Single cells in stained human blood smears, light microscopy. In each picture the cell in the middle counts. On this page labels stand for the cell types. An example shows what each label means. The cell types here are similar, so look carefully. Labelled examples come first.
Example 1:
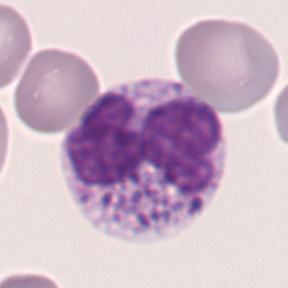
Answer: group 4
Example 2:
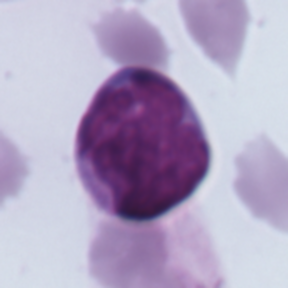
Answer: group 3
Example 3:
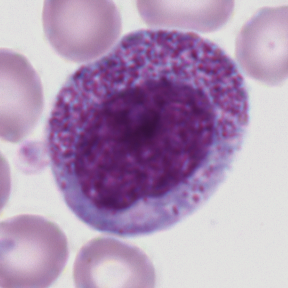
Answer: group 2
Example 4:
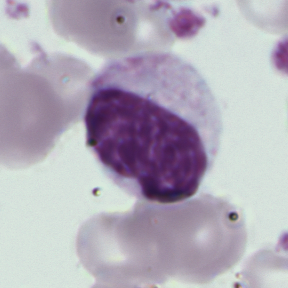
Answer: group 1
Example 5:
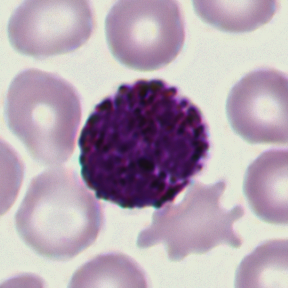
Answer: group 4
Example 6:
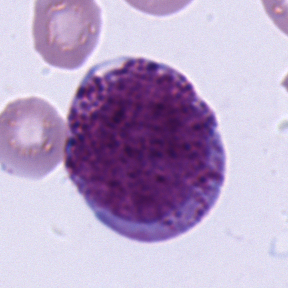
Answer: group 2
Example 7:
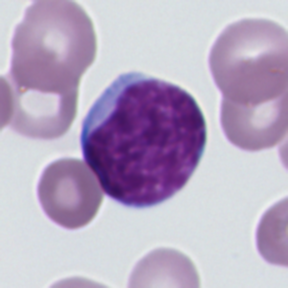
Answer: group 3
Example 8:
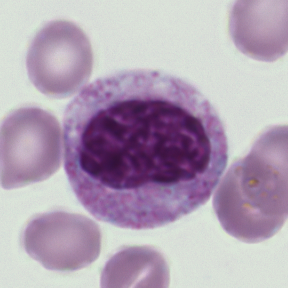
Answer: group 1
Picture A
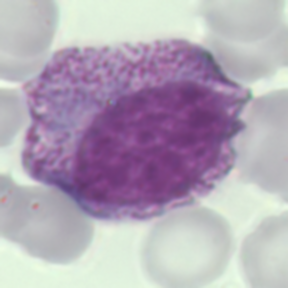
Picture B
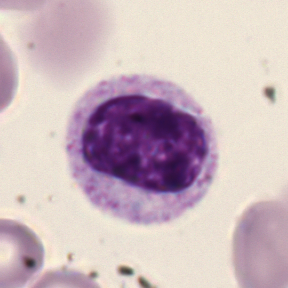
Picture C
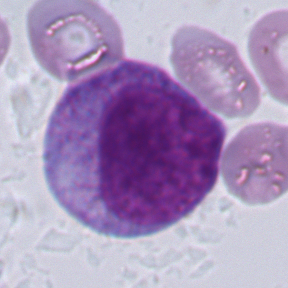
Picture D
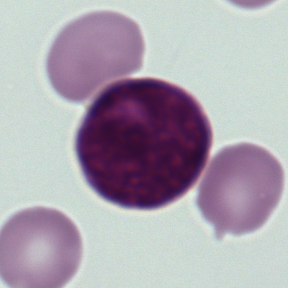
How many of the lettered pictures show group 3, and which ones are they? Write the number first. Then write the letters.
Count: 1 (D)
